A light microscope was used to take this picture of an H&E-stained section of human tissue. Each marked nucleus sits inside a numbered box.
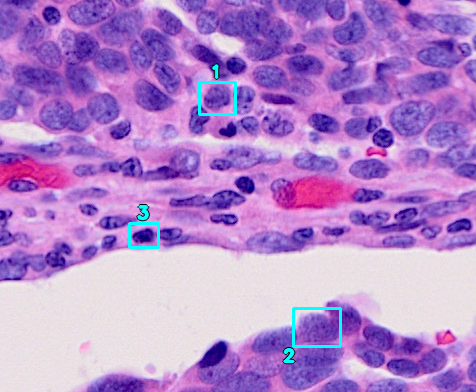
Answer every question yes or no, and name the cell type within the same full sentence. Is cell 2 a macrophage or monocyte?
No, cell 2 isn't a macrophage or monocyte; it's a carcinoma cell.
